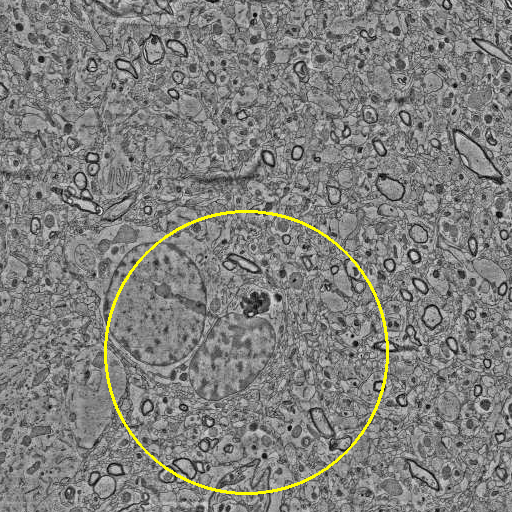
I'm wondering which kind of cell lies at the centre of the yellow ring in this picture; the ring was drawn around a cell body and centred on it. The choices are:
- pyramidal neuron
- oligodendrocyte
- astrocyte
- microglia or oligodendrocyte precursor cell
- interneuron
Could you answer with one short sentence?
At the centre of the ring lies a microglial cell or oligodendrocyte precursor cell.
